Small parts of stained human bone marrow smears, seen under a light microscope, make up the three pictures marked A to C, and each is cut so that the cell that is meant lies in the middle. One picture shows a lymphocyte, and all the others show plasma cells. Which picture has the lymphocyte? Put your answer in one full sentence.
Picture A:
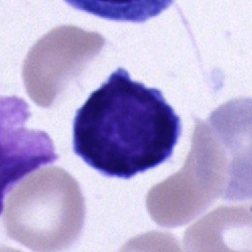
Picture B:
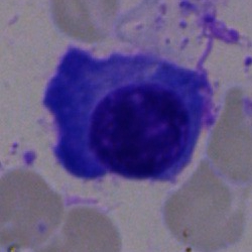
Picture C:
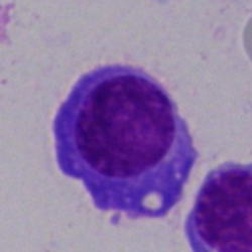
The picture with the lymphocyte is A.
